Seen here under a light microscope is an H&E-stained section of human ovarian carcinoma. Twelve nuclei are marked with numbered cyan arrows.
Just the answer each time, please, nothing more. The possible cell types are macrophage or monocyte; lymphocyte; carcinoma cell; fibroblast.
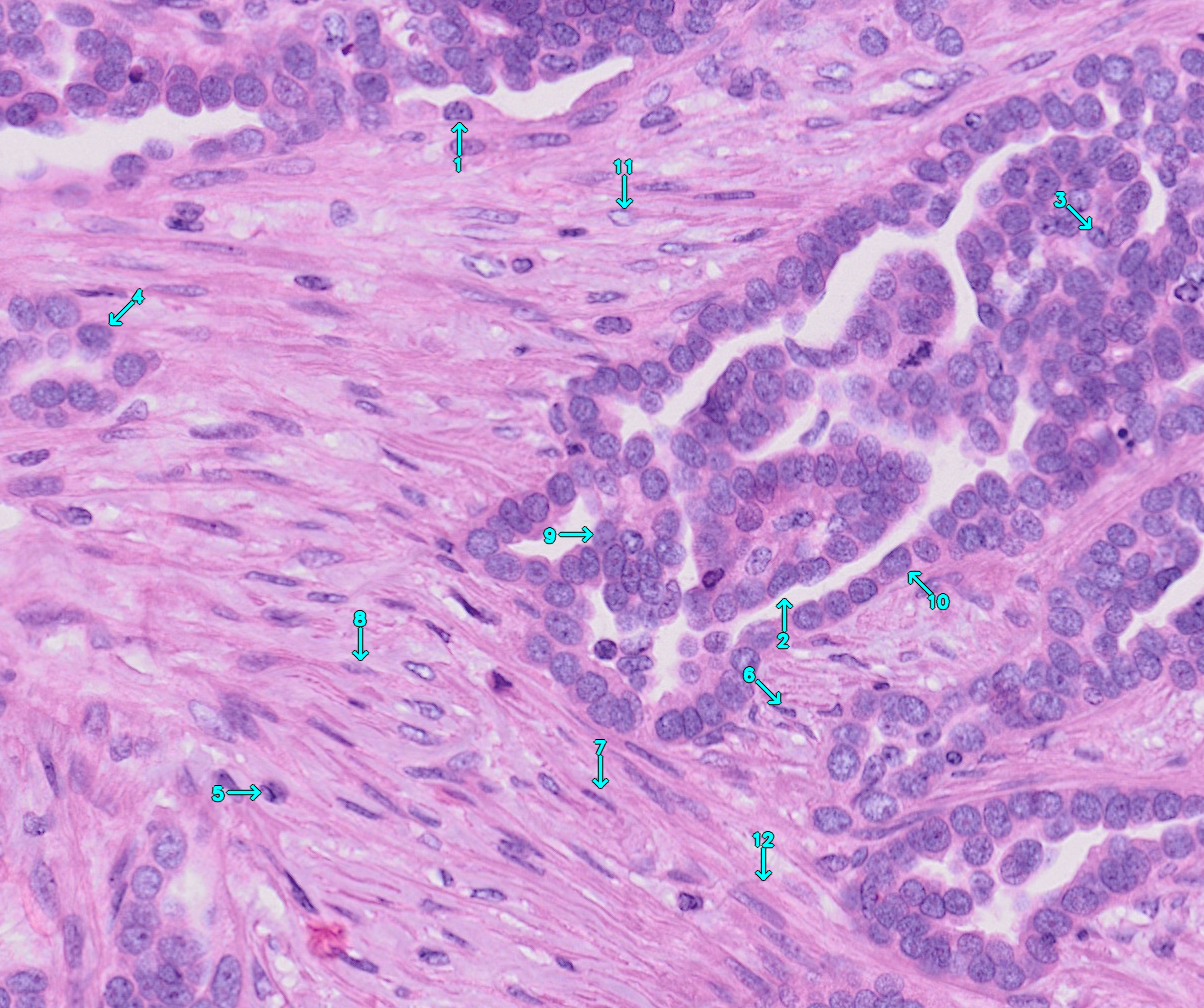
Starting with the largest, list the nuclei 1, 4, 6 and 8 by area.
4, 1, 8, 6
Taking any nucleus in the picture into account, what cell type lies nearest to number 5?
fibroblast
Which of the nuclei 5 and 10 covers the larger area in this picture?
10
